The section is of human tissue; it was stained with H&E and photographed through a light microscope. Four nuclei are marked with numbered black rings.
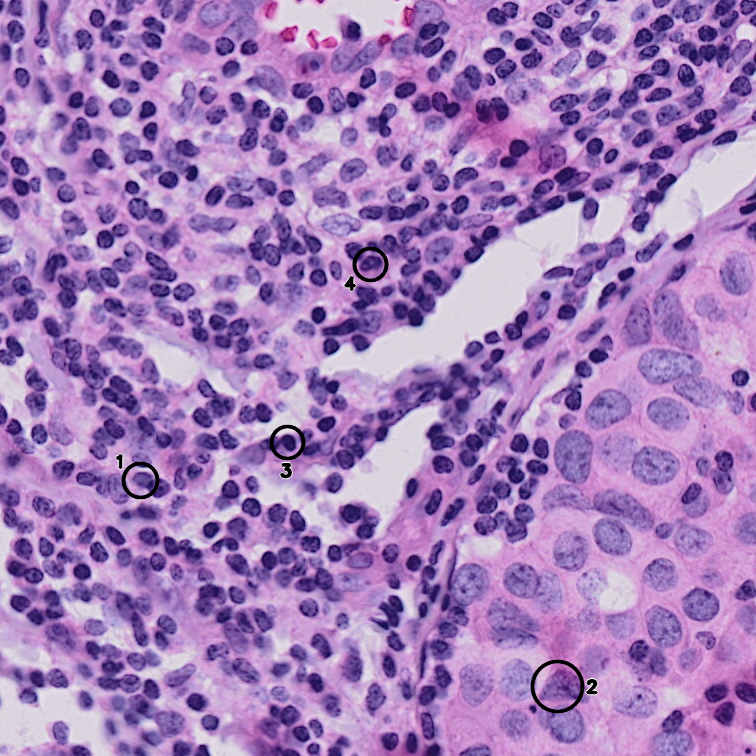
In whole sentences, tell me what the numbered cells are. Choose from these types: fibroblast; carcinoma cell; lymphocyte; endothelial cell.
Cells 1, 3 and 4 are lymphocytes. Cell 2 is a carcinoma cell.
